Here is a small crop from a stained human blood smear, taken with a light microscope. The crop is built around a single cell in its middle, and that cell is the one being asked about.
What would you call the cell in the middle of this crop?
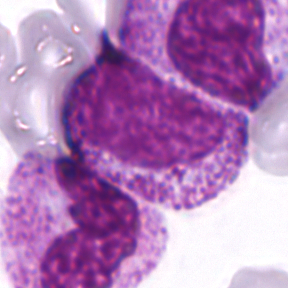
myelocyte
